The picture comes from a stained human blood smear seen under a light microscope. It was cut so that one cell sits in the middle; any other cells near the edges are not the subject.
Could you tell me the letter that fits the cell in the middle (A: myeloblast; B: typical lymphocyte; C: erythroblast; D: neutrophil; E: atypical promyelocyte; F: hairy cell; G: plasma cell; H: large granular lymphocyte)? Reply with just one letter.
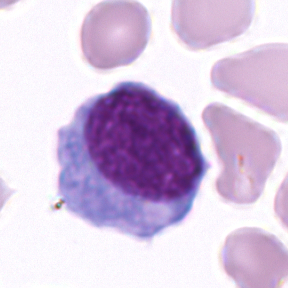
G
